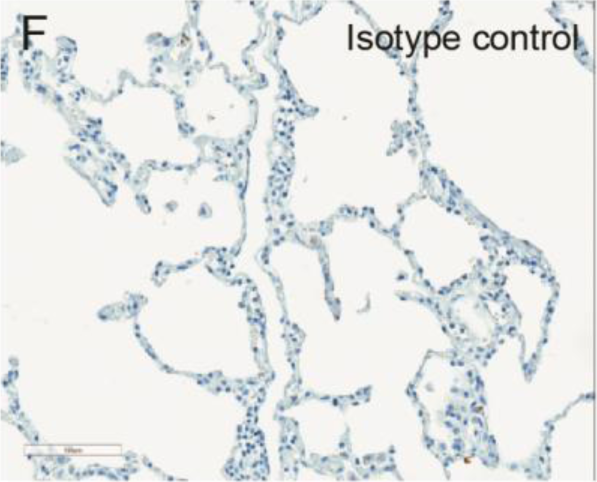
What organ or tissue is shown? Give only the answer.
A: Lung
